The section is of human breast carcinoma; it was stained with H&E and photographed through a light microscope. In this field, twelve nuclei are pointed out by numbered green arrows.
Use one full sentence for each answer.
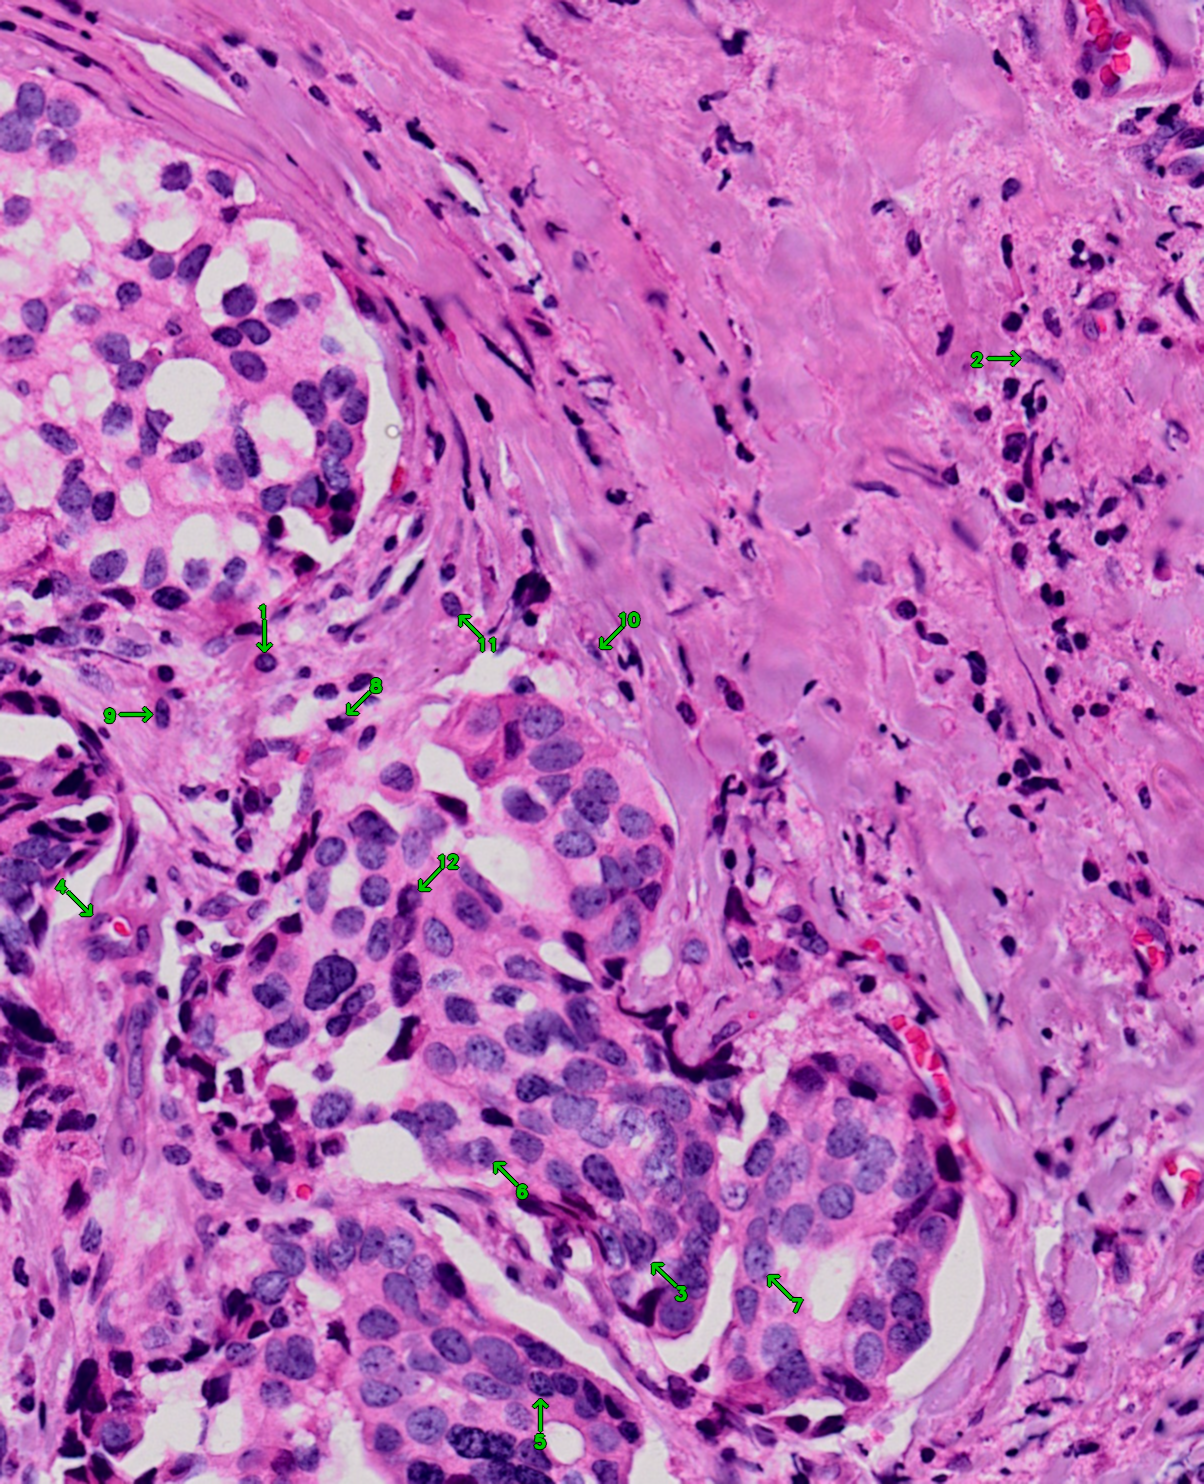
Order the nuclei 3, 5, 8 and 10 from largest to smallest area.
The nuclei rank 3, 5, 8, 10, from largest to smallest.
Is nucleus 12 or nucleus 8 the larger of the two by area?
Nucleus 12 covers more area, about 1.5 times as much as nucleus 8.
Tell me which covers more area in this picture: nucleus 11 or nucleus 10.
Nucleus 11 is the larger one, covering about 3 times the area of nucleus 10.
